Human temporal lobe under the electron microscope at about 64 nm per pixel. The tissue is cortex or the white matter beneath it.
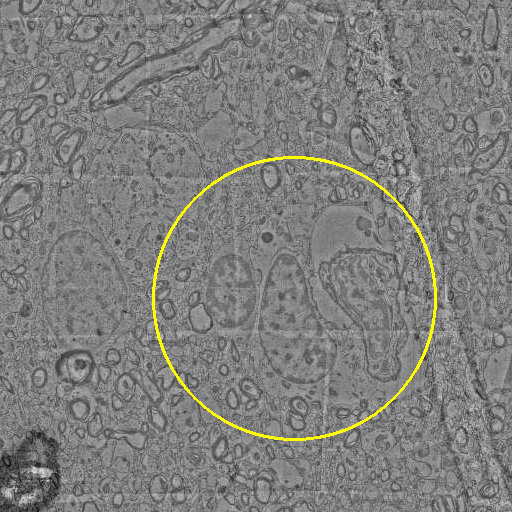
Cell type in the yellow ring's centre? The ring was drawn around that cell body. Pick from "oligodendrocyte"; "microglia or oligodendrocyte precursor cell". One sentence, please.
The ringed cell body is that of a microglial cell or oligodendrocyte precursor cell.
